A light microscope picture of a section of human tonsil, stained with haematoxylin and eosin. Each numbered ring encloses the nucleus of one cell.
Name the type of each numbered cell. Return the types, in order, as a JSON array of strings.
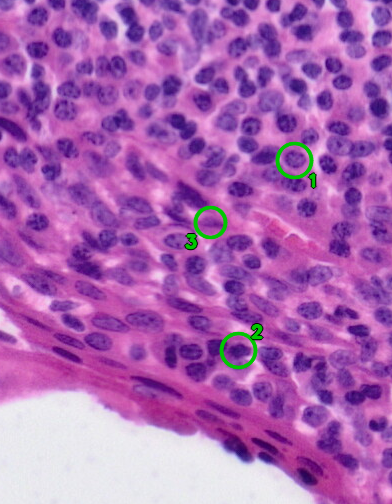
["plasma cell", "plasma cell", "squamous epithelial cell"]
